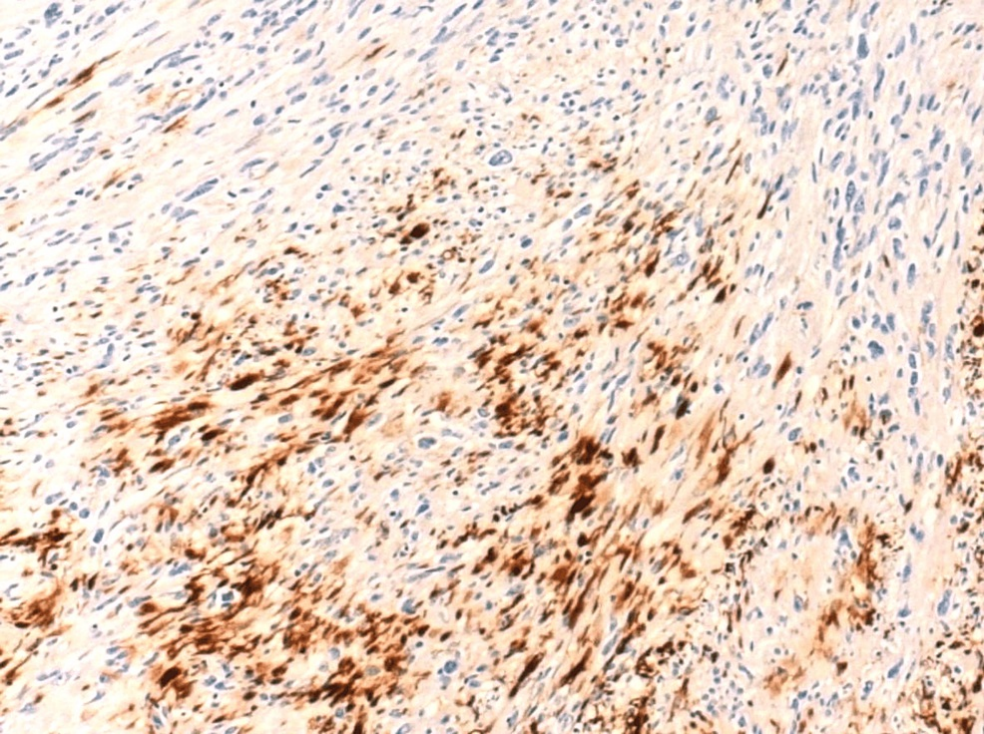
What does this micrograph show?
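The cells form sweeping, loosely fascicular streams in a pale pink to beige background. The cells have elongated, tapered, blue-counterstained nuclei. Some nuclei are larger, plumper and irregular, and scattered ones are hyperchromatic. Brown cytoplasmic staining is patchy and clustered. It lies mostly across the lower and central field, where it outlines elongated cell bodies and processes. The upper and right parts of the field are largely unstained apart from faint background. No gland, epithelial nest or surface epithelium is seen.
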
